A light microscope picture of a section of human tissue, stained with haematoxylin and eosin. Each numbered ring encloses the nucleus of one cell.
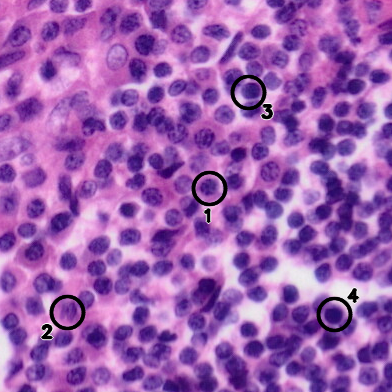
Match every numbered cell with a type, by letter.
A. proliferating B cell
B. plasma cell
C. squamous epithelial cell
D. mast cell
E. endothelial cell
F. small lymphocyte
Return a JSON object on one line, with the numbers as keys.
{"1": "B", "2": "B", "3": "F", "4": "F"}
